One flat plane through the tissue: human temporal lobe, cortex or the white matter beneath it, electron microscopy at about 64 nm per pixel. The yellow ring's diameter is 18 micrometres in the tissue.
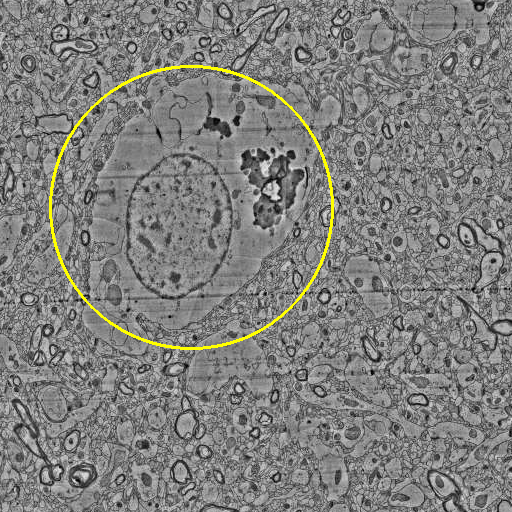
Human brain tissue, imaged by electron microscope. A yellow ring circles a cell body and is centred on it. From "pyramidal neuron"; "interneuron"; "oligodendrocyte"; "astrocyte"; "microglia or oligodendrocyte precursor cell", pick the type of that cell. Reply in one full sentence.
The cell body at the centre of the yellow ring belongs to an astrocyte.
